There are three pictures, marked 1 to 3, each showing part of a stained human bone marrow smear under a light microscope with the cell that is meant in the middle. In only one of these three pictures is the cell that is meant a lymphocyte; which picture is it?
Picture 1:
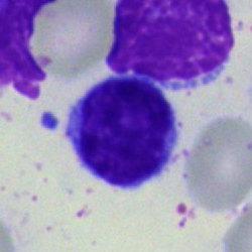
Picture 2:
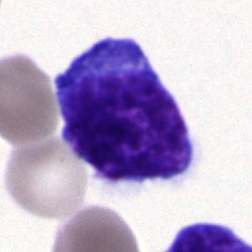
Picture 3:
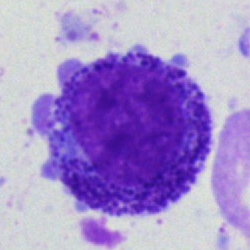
1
